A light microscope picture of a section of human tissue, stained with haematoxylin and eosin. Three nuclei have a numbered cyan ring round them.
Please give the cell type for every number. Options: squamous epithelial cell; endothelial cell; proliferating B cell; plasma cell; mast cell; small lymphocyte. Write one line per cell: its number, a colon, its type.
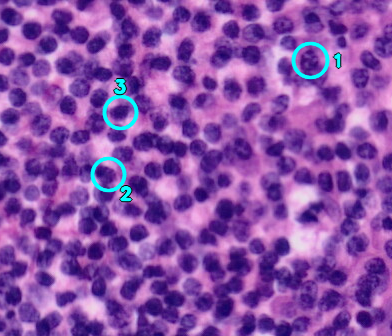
1: plasma cell
2: small lymphocyte
3: small lymphocyte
